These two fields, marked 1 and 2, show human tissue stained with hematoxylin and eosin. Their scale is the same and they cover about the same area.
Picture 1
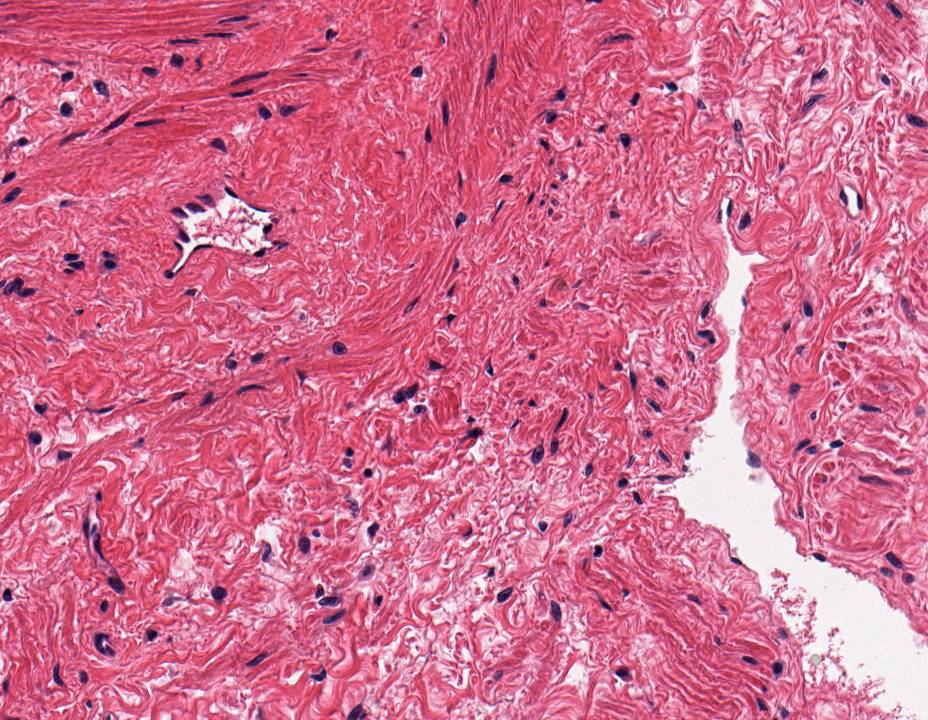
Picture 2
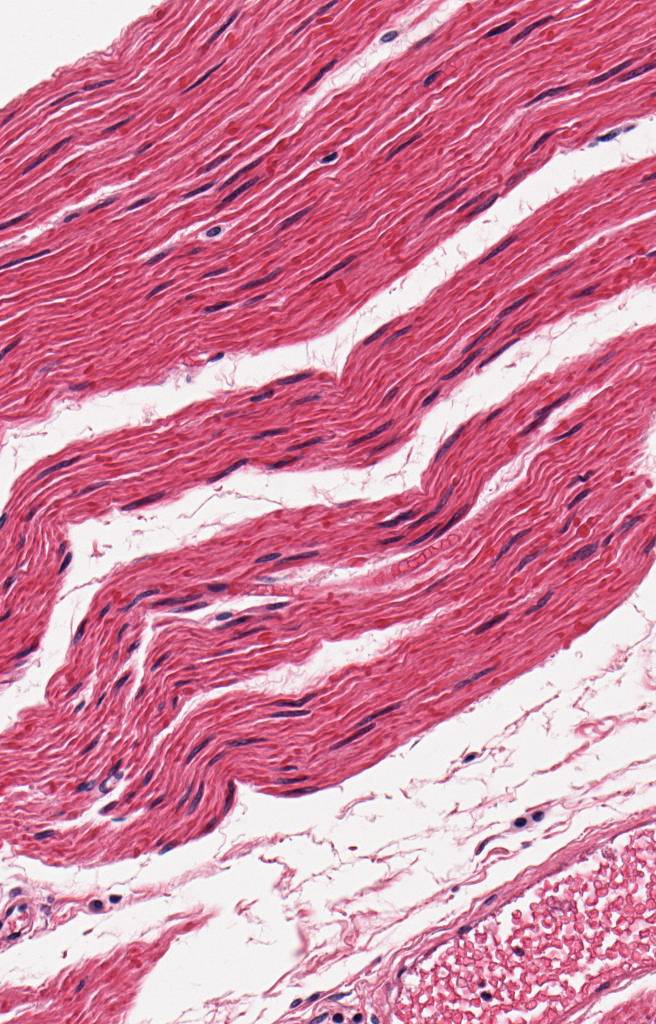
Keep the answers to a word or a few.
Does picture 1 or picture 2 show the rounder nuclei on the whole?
1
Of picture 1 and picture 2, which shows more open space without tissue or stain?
2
